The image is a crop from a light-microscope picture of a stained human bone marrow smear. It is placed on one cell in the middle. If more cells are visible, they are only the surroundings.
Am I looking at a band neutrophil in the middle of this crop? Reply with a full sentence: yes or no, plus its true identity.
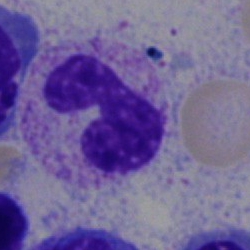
No, the central cell in this crop is a segmented neutrophil and not a band neutrophil.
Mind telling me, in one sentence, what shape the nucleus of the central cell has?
The nucleus amounts to one compact mass with a round, oval or kidney-shaped outline.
